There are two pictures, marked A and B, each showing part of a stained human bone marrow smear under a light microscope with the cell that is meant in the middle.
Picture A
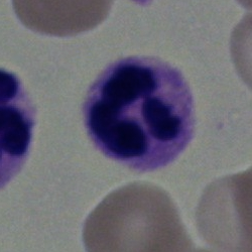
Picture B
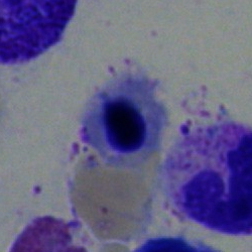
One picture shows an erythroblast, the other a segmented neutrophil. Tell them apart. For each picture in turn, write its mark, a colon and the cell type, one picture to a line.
A: segmented neutrophil
B: erythroblast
